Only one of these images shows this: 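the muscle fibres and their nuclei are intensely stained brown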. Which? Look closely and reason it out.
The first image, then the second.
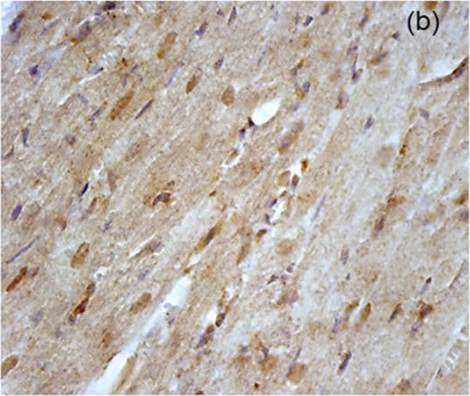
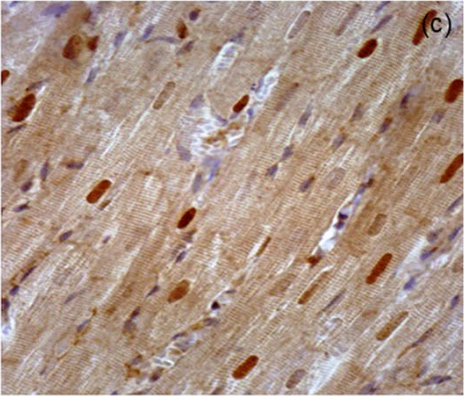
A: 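First image: the fibres are pale to moderate brown with patchy staining. Second image: the fibres are evenly darker brown and many nuclei are deep brown. So: the second image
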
